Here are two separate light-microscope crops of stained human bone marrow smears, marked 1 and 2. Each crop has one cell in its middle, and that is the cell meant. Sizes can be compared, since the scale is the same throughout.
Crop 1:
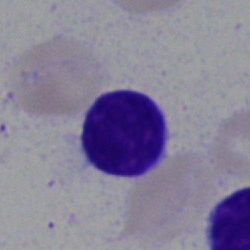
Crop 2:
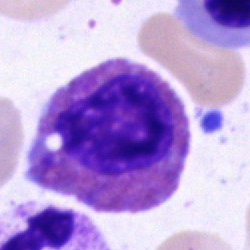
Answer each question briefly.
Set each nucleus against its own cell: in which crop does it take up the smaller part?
2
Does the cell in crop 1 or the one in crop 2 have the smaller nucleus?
1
